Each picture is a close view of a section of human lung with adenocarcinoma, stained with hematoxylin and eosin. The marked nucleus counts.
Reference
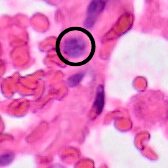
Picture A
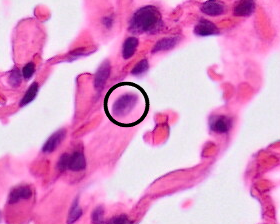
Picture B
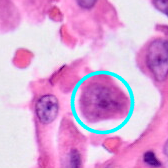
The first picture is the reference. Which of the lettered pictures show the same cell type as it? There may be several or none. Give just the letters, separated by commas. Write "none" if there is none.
A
